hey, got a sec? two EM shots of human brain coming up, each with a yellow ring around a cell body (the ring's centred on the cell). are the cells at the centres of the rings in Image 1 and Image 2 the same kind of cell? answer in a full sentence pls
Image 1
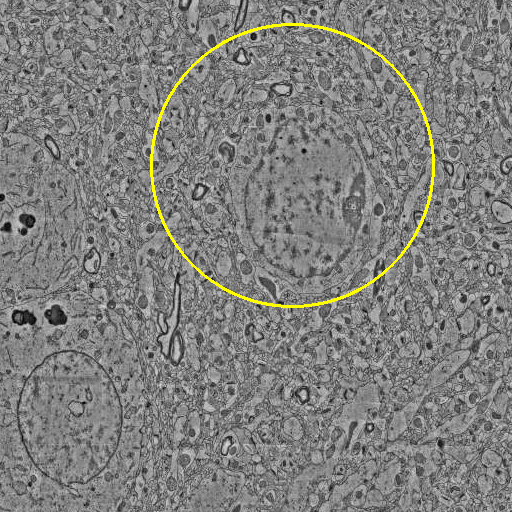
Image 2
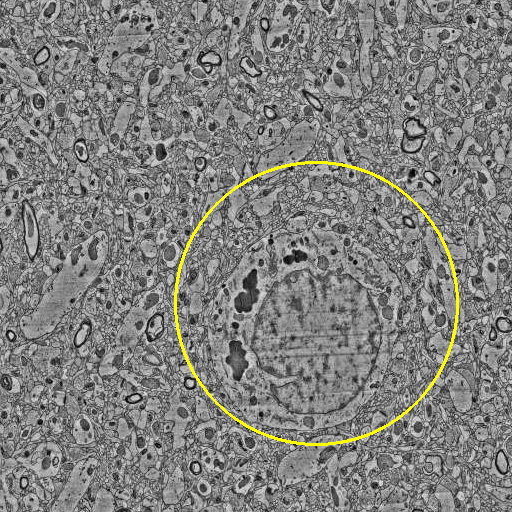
Yes, both are the same kind of cell.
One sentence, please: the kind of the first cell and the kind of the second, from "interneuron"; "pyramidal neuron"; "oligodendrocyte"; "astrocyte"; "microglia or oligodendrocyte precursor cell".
Both rings mark an interneuron, one in each picture.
